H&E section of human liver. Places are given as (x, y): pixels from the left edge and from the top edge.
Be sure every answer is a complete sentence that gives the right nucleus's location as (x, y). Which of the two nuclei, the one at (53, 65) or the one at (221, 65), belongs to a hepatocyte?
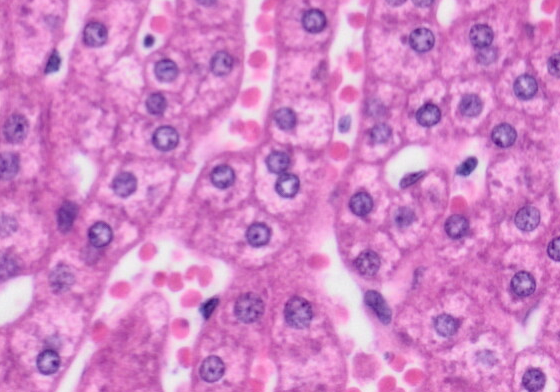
The nucleus that belongs to a hepatocyte sits at (221, 65).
